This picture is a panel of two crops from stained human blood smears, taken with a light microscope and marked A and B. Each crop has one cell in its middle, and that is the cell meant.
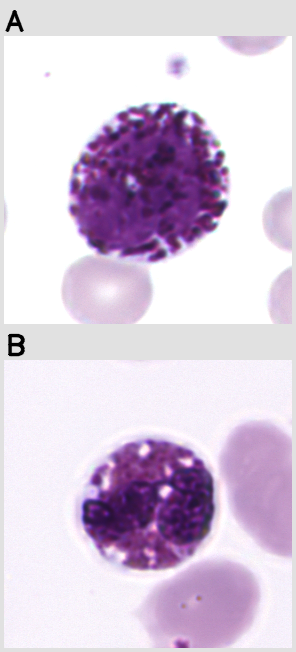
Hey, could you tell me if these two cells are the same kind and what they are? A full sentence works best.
No, crop A shows a basophil, whereas an eosinophil is what crop B shows.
